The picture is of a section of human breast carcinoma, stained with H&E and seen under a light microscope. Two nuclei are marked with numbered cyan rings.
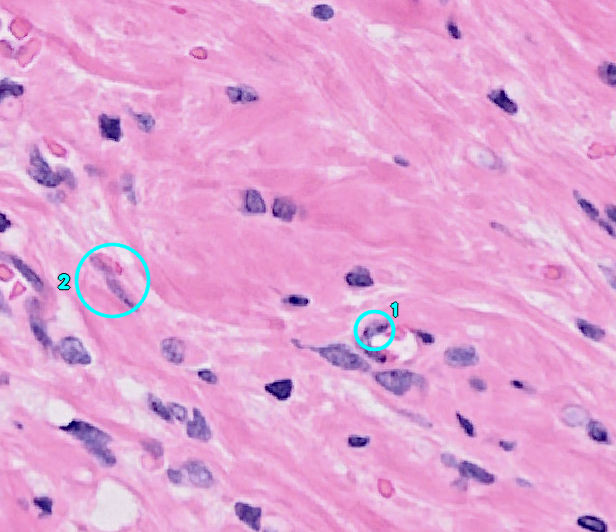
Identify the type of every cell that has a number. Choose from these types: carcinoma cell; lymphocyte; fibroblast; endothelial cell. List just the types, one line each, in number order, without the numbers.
endothelial cell
fibroblast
